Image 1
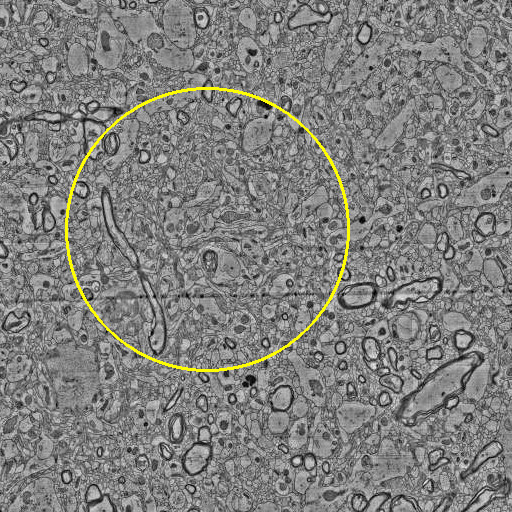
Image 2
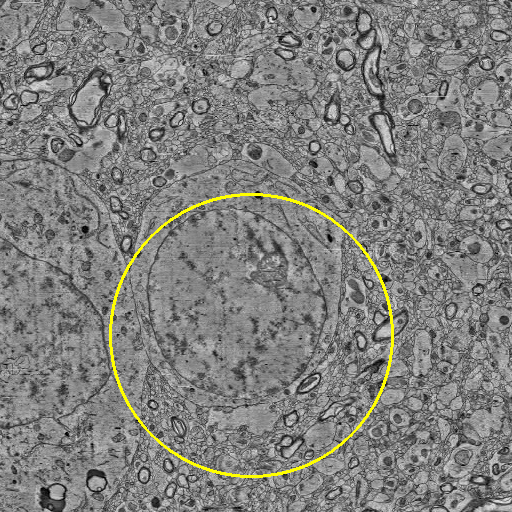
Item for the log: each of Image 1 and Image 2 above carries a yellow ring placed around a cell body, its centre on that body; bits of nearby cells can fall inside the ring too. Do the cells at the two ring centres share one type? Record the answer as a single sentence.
No, the two cells at the ring centres in Image 1 and Image 2 are of two types.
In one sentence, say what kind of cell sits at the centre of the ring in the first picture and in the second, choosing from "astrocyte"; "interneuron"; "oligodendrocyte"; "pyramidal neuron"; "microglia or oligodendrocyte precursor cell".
The first picture's ringed cell is an oligodendrocyte, while the second picture's is a pyramidal neuron.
